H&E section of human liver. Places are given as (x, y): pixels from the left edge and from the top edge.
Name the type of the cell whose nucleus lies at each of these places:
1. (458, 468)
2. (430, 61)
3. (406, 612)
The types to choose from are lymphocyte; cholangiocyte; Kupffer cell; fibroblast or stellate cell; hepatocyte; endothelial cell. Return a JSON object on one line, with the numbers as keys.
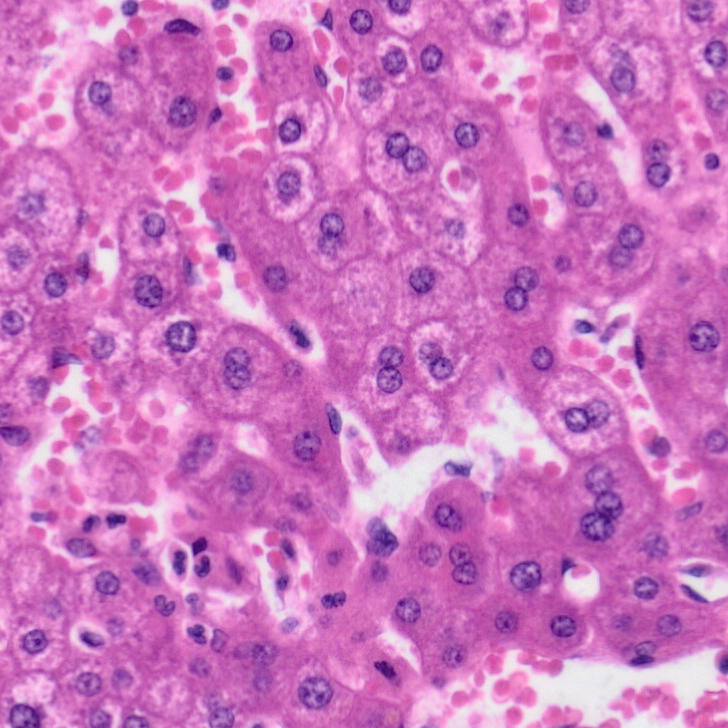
{"1": "endothelial cell", "2": "hepatocyte", "3": "hepatocyte"}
